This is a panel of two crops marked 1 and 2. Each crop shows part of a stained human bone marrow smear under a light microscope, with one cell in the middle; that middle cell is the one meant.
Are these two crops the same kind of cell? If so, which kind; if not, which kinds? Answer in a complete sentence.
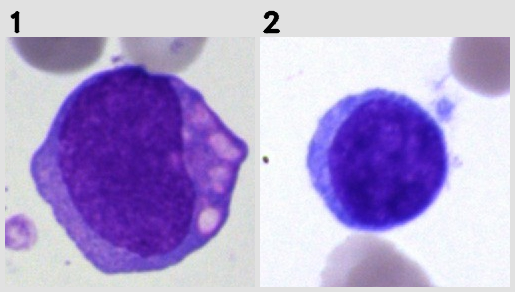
Yes, both crops show blasts, and nothing else needs adding.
